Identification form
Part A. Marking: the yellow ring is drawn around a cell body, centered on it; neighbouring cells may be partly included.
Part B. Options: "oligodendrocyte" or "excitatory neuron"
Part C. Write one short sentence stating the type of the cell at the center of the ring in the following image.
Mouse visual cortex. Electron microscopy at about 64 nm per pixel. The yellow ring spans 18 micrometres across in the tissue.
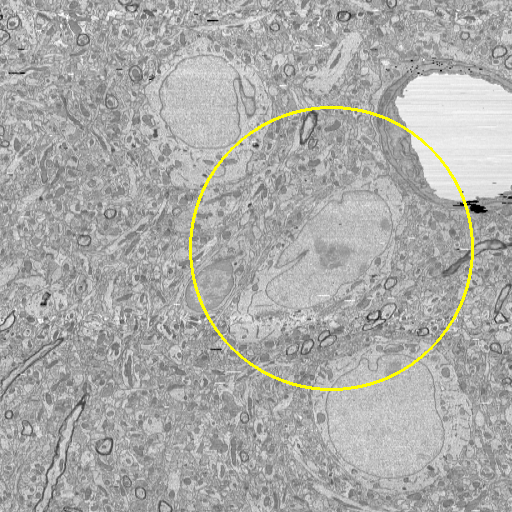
The center of the ring holds an excitatory neuron.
